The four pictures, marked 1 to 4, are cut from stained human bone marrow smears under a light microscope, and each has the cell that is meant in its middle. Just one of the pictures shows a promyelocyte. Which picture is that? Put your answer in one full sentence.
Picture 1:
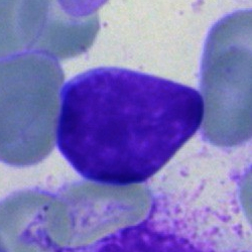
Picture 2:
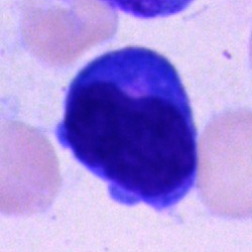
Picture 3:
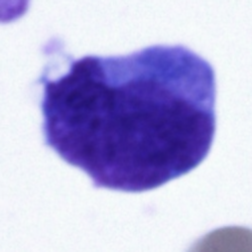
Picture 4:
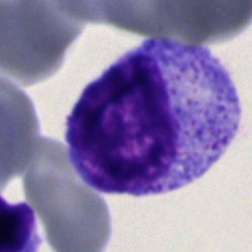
Picture 4 shows the promyelocyte.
